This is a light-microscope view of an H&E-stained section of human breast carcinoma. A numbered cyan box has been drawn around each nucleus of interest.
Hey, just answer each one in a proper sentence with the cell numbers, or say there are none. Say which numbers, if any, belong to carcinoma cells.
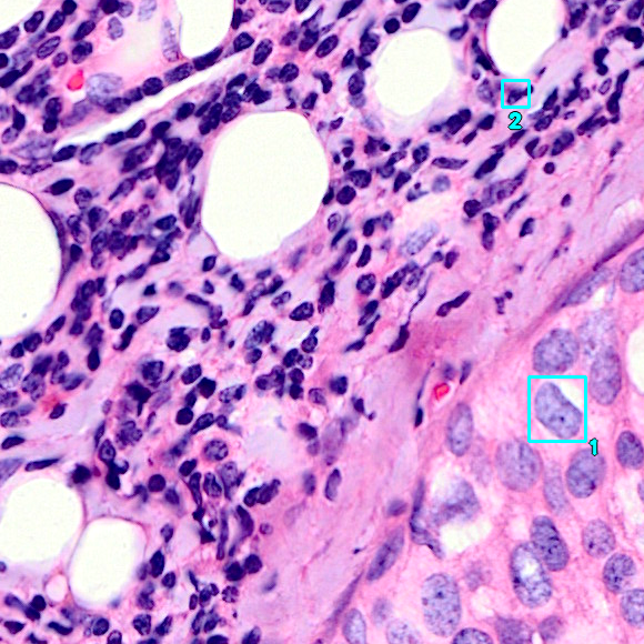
A single numbered cell, cell 1, is a carcinoma cell.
